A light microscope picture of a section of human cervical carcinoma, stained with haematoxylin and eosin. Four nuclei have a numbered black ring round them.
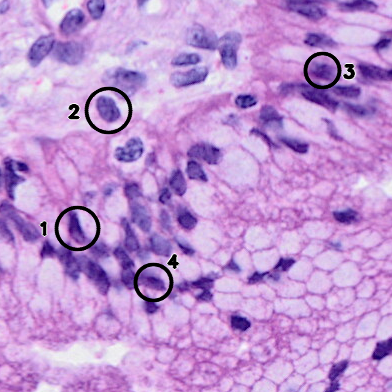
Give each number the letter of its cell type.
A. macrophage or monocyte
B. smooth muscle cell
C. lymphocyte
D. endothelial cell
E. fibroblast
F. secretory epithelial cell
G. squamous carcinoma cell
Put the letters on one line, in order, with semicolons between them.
F; C; F; F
